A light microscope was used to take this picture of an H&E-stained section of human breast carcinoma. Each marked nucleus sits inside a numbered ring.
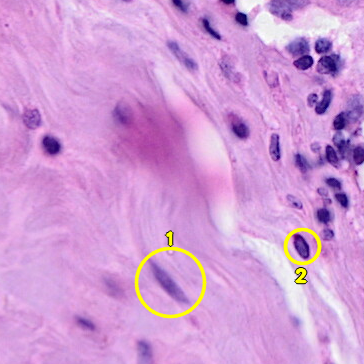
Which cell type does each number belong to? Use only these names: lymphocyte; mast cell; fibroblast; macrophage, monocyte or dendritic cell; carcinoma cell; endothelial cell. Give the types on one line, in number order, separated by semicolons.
fibroblast; lymphocyte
